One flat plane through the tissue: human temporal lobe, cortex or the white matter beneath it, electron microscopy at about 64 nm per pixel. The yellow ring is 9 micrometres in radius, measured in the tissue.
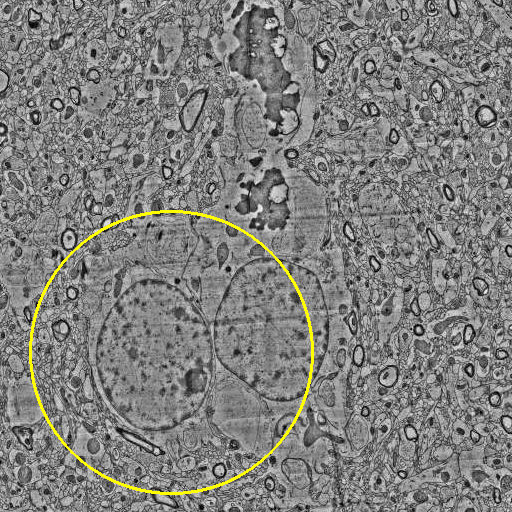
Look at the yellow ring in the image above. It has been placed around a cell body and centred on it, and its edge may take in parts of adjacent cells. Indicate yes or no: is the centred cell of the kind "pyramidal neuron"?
no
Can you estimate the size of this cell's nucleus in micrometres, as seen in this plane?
Roughly 10 by 7 micrometres in this plane, for the nucleus of the ringed cell.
